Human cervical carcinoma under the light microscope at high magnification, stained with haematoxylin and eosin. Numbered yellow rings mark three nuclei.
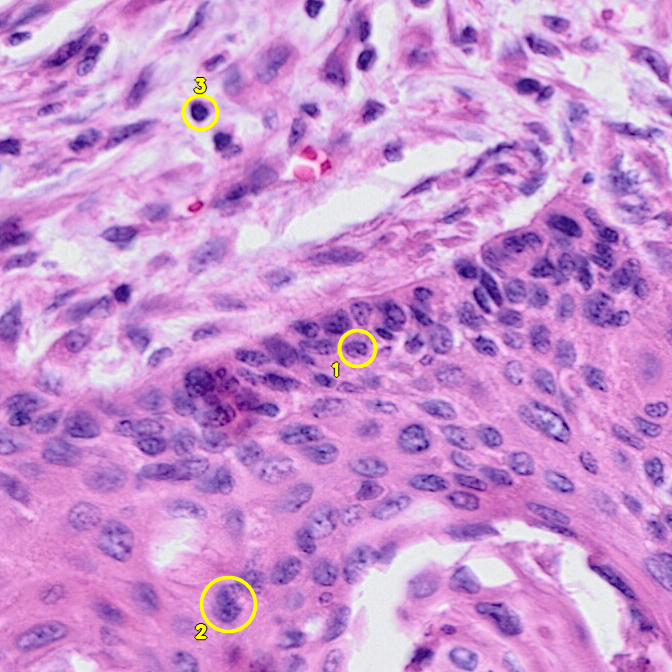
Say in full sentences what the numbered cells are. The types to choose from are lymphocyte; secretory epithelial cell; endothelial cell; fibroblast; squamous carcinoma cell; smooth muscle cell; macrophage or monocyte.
Cells 1 and 2 are squamous carcinoma cells. Cell 3 is a lymphocyte.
